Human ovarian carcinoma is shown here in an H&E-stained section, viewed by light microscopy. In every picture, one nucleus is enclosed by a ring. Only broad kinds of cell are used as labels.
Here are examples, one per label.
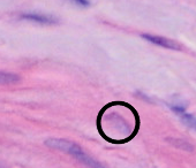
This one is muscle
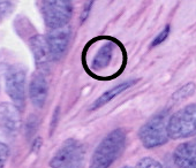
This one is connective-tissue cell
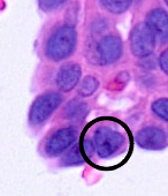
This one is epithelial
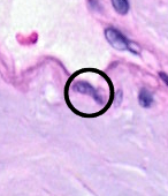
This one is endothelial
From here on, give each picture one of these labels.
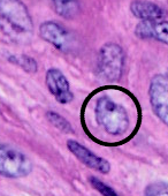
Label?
connective-tissue cell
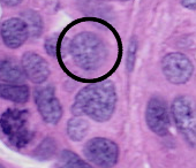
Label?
epithelial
